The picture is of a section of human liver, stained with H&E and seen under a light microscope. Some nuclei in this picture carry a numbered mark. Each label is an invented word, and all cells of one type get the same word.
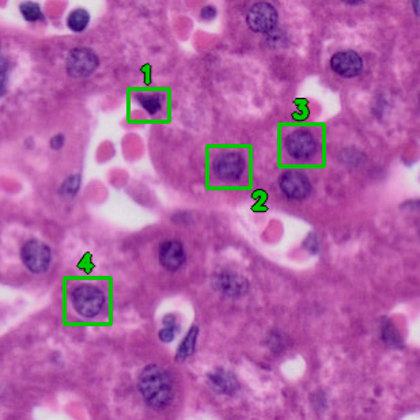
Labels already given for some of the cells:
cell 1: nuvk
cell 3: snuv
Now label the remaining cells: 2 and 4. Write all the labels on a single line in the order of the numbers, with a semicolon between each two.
snuv; snuv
